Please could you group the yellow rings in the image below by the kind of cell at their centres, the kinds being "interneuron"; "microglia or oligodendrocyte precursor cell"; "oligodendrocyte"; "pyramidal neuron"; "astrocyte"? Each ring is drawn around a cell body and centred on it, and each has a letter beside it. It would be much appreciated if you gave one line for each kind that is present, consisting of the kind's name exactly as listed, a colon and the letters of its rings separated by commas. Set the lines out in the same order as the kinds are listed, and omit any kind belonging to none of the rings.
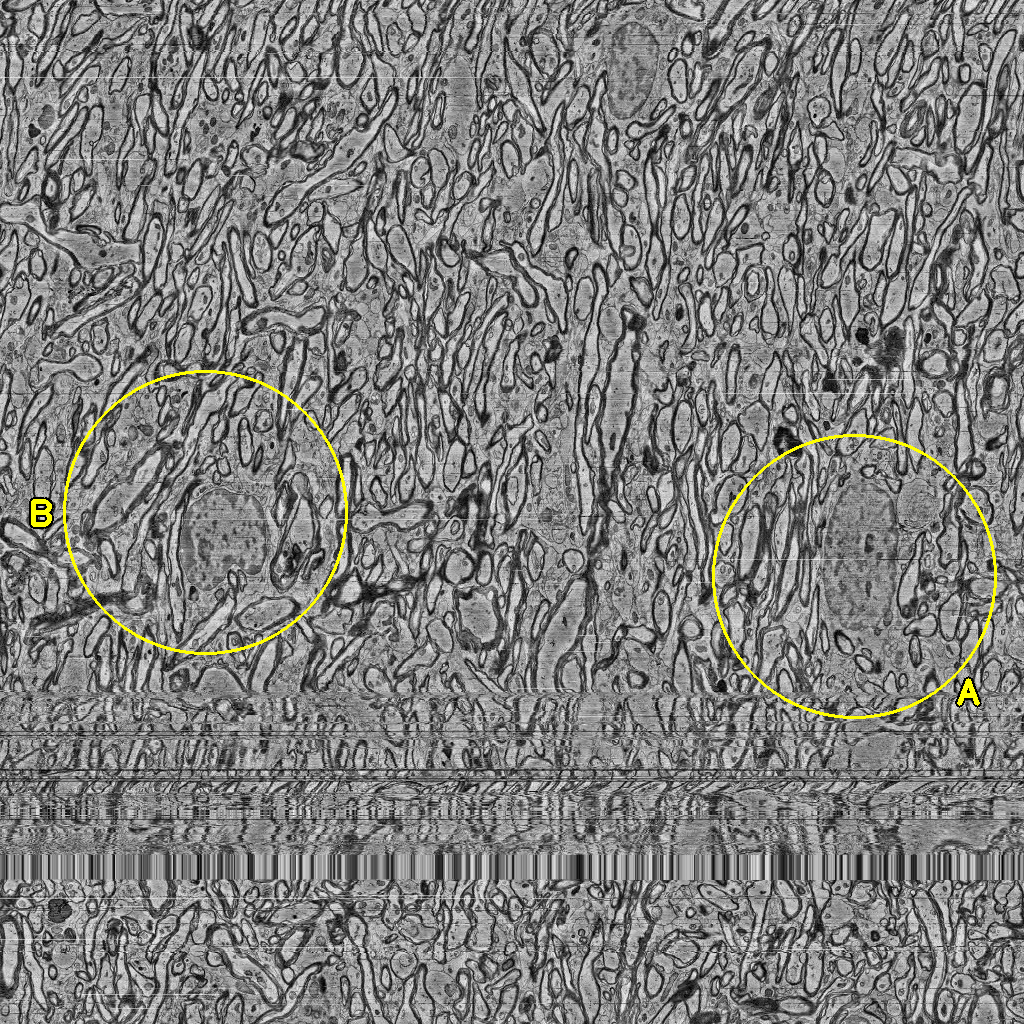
microglia or oligodendrocyte precursor cell: B
oligodendrocyte: A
